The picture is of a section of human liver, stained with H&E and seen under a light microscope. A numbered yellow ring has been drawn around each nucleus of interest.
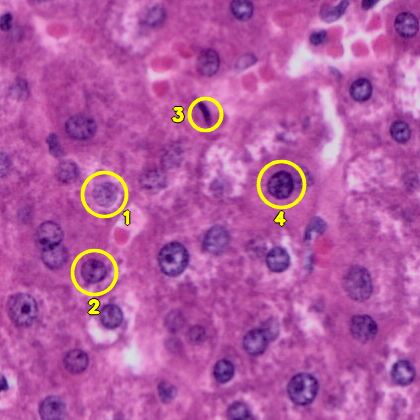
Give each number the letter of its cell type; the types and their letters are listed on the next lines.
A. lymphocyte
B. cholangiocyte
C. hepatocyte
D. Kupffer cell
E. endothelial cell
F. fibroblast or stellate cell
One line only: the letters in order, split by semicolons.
C; C; F; C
